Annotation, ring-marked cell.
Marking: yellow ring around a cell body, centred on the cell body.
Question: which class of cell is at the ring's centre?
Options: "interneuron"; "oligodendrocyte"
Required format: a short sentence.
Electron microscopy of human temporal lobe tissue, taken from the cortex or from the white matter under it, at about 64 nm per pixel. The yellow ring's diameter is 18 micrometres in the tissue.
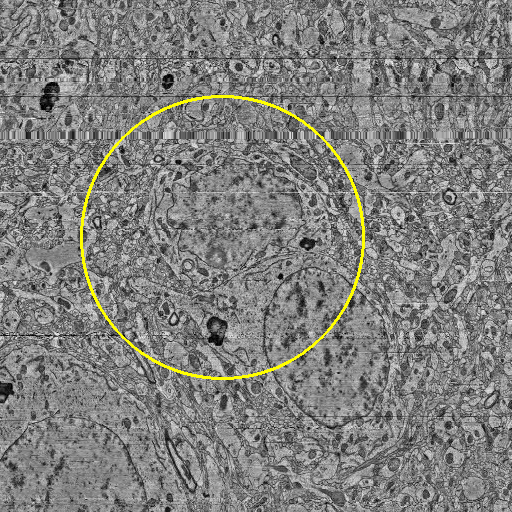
At the ring's centre is an interneuron.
